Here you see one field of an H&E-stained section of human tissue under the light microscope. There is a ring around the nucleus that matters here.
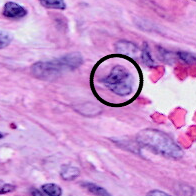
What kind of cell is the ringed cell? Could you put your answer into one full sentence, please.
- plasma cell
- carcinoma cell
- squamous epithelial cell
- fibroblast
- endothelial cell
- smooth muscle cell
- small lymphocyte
What the ringed cell represents is an endothelial cell.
